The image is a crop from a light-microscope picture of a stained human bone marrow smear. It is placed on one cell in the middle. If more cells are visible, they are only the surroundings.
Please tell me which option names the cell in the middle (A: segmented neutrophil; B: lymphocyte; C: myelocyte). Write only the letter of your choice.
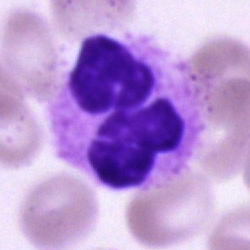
A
